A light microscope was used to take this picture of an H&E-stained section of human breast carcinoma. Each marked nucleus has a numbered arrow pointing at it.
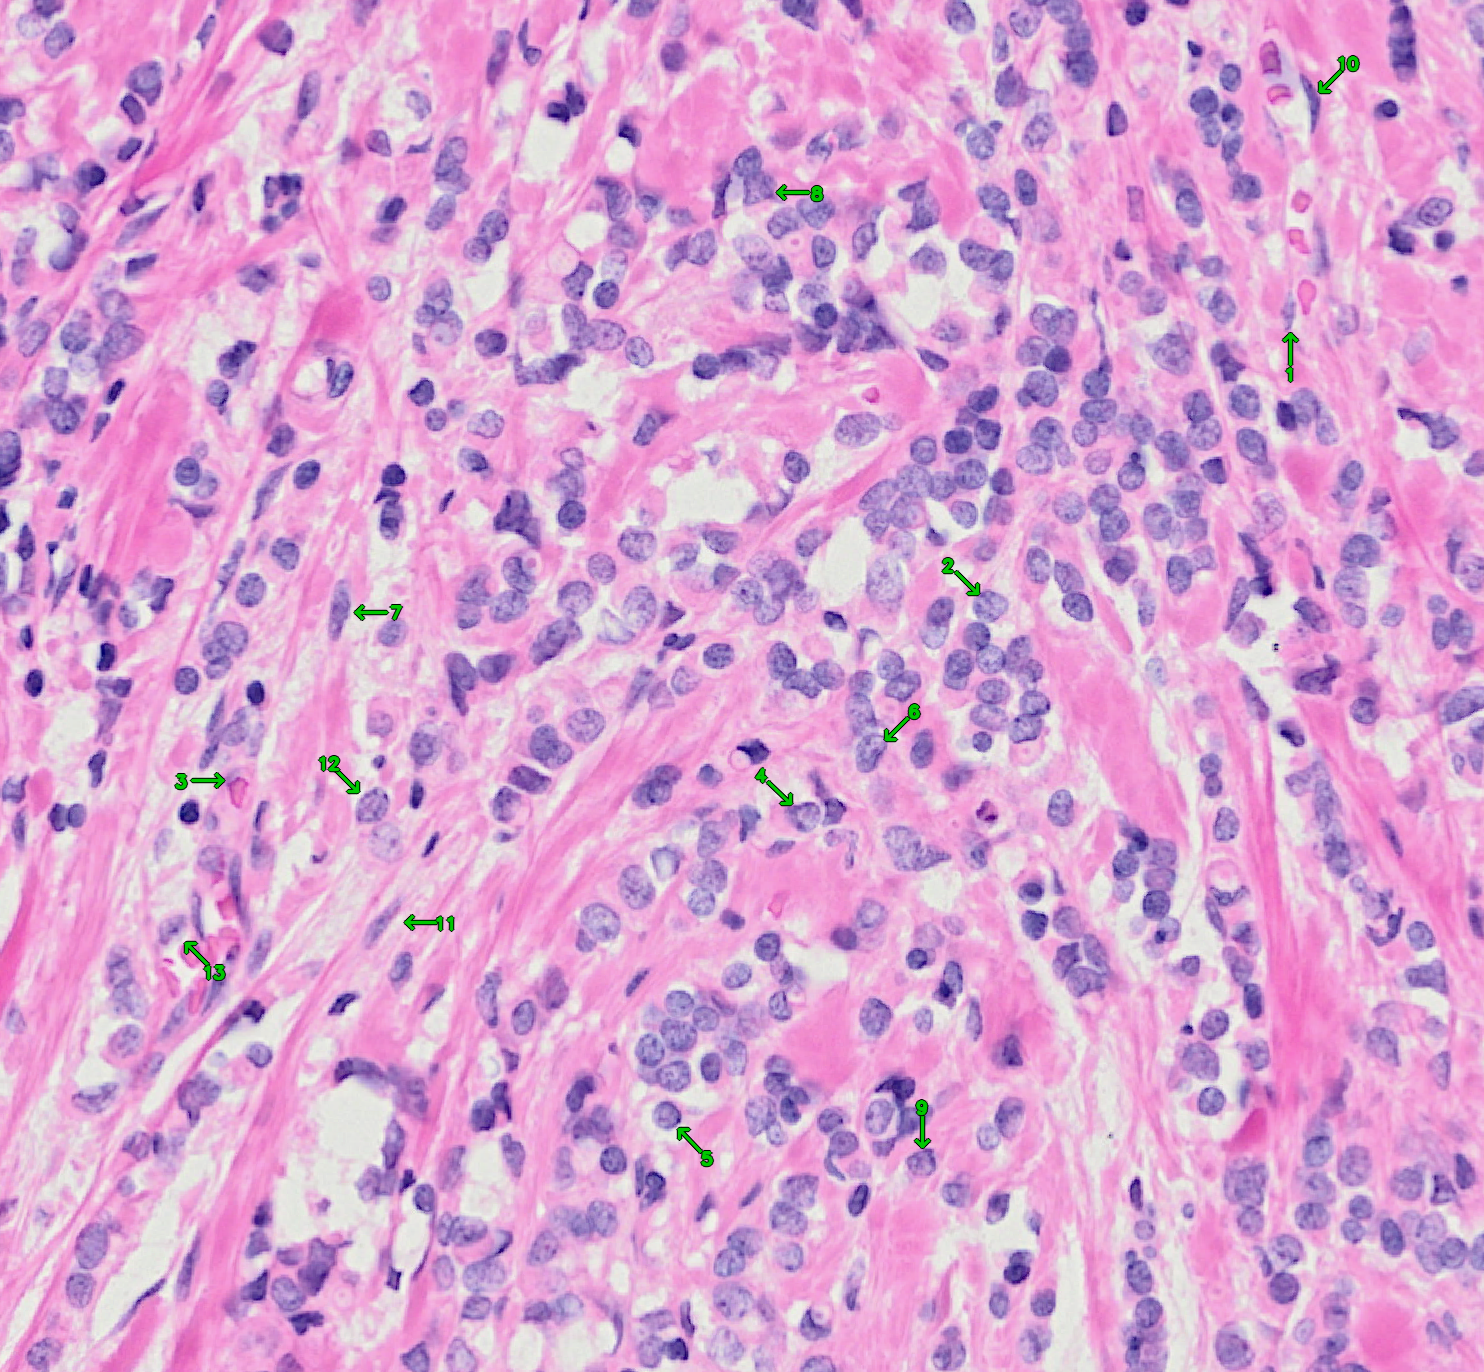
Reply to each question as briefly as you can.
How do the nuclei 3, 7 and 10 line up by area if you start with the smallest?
3, 10, 7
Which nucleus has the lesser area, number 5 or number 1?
1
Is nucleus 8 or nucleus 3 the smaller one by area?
3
